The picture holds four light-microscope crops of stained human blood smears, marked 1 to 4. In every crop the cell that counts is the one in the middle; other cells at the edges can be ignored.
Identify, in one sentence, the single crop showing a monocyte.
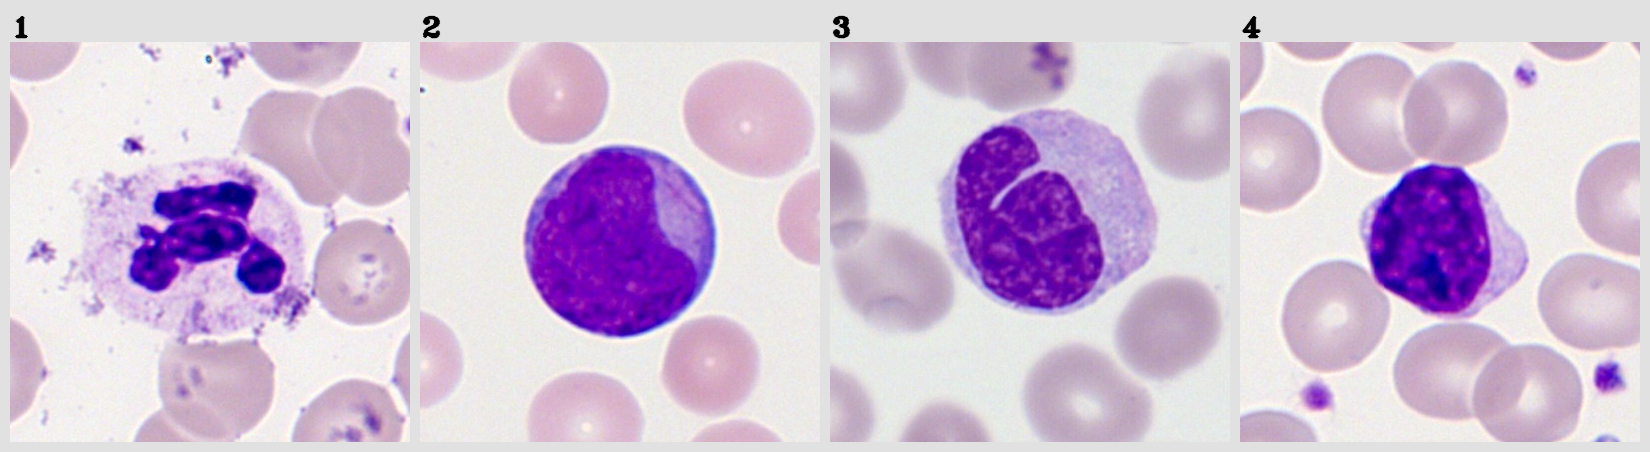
Crop 3 is the crop containing a monocyte.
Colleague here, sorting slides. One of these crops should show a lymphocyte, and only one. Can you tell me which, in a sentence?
Of the labelled crops, the one that shows a lymphocyte is crop 4.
